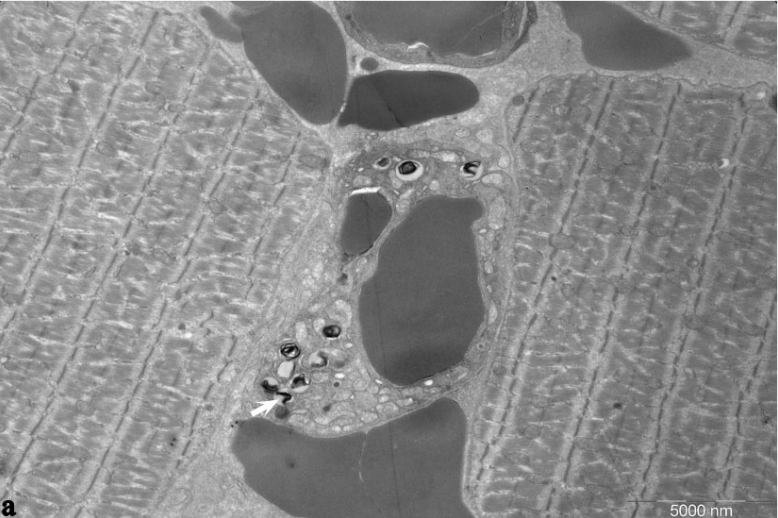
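Capillary between striated muscle fibres, lumen packed with electron-dense red blood cells. The vascular endothelial cell cytoplasm is swollen and crowded with vacuoles, several holding small electron-dense ring-shaped profiles. Muscle fibres on both sides show regular sarcomere banding.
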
